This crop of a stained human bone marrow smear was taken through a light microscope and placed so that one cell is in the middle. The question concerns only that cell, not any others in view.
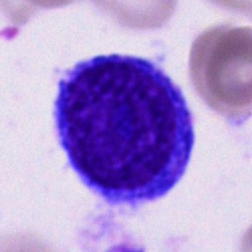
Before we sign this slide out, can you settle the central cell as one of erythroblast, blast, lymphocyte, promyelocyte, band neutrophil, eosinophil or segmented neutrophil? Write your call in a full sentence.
The cell centred in this crop is categorized as a blast.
